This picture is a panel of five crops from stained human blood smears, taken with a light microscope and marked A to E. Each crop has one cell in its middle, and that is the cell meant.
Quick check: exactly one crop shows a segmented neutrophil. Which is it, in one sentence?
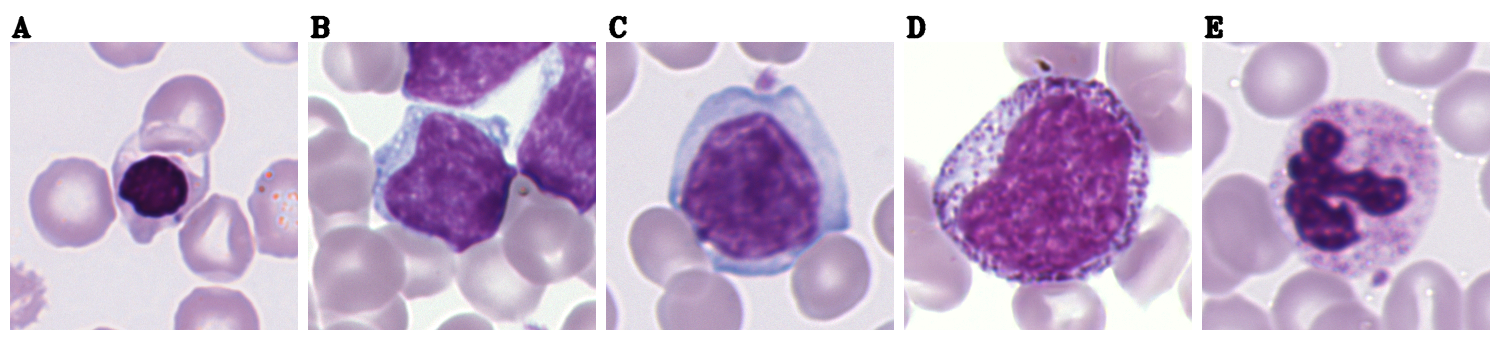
Of the labelled crops, the one that shows a segmented neutrophil is crop E.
